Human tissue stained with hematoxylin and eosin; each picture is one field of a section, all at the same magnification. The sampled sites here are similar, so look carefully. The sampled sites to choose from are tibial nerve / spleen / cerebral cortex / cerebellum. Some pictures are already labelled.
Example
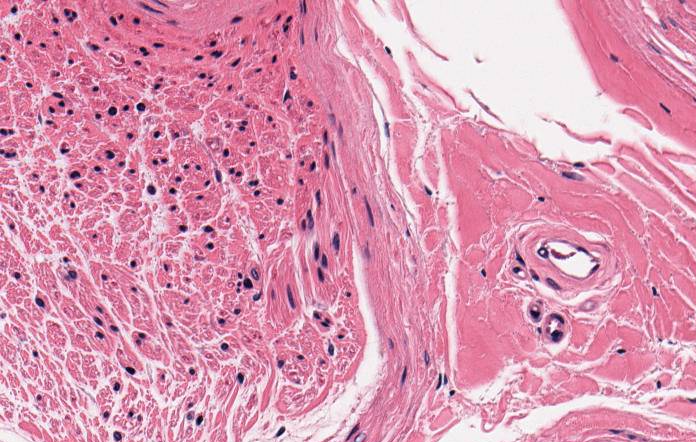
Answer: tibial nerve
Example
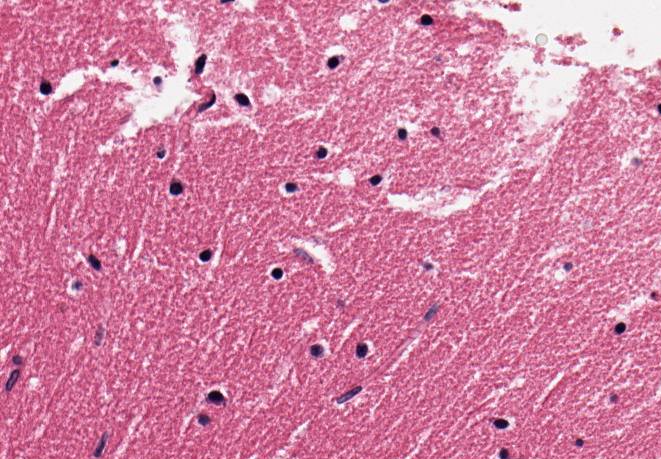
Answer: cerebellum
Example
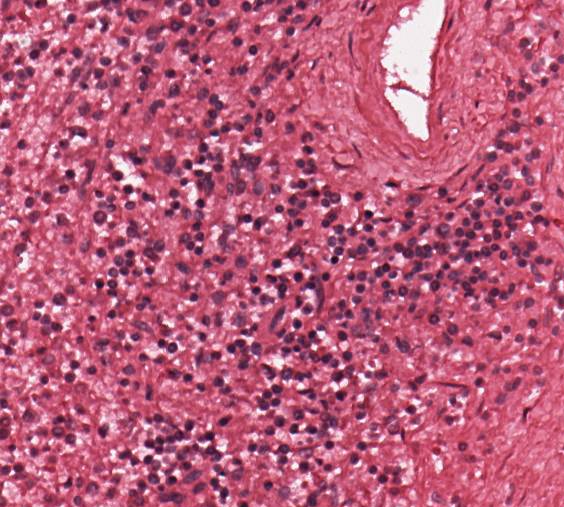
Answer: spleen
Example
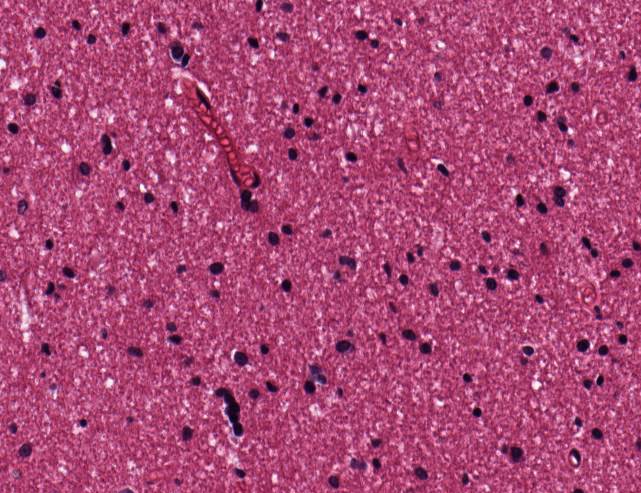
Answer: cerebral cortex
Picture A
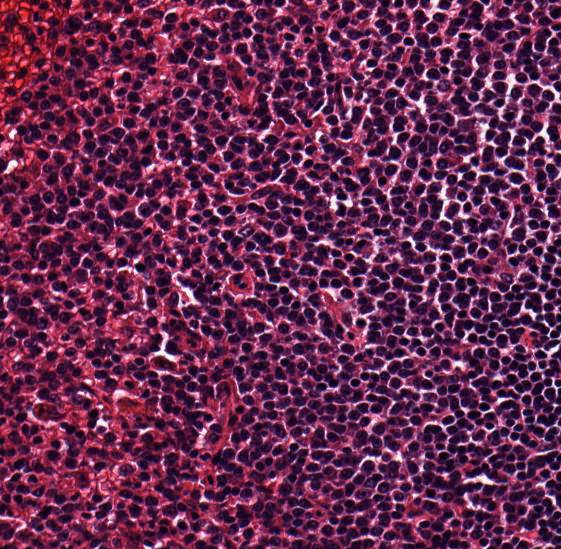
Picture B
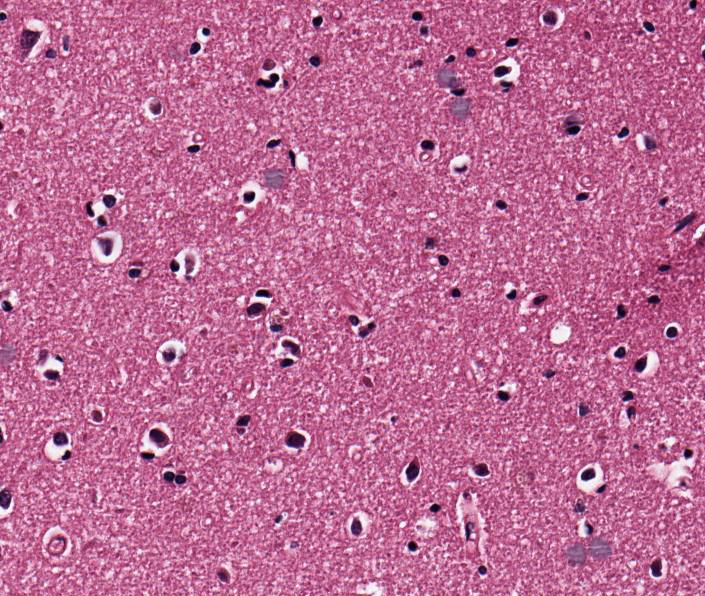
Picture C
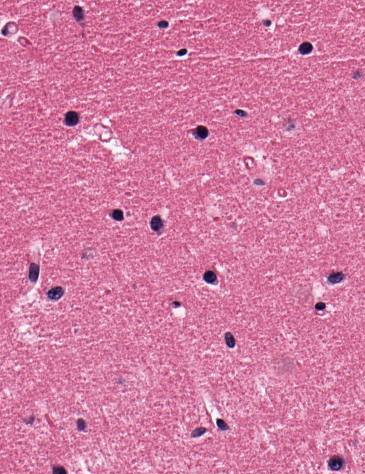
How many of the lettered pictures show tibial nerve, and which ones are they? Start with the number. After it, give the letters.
0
